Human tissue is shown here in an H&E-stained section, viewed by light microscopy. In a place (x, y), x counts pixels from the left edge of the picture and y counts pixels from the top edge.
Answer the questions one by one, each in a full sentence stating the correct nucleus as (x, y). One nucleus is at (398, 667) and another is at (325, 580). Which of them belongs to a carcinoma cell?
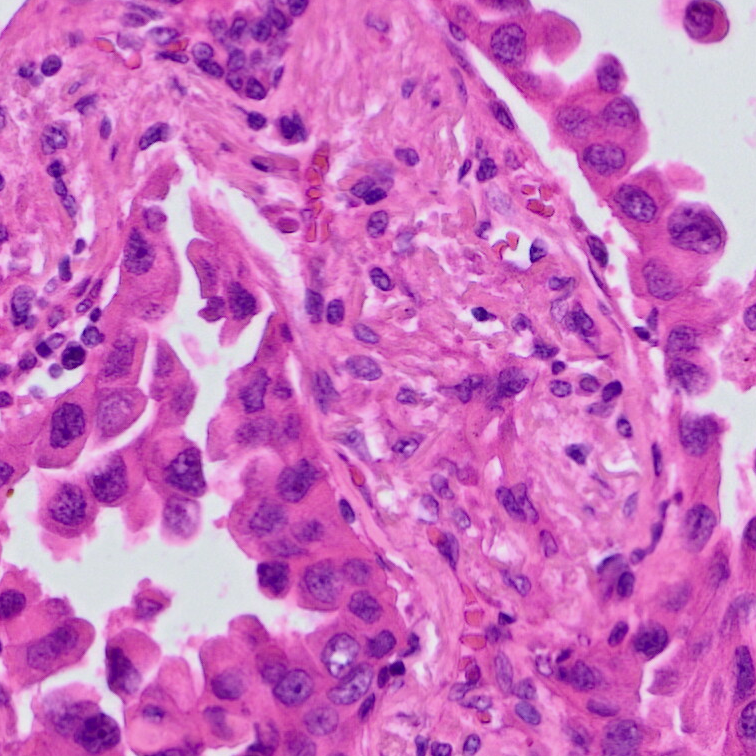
The nucleus at (325, 580) is contained in a carcinoma cell.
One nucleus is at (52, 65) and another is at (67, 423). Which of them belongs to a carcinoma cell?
In this pair, the nucleus at (67, 423) belongs to a carcinoma cell.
